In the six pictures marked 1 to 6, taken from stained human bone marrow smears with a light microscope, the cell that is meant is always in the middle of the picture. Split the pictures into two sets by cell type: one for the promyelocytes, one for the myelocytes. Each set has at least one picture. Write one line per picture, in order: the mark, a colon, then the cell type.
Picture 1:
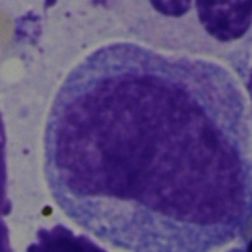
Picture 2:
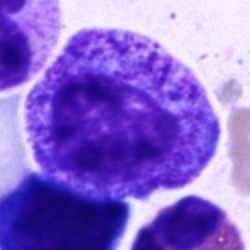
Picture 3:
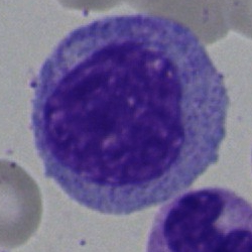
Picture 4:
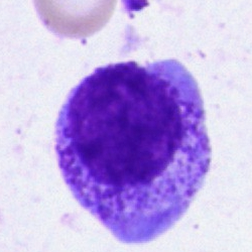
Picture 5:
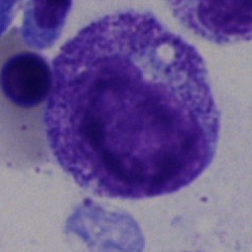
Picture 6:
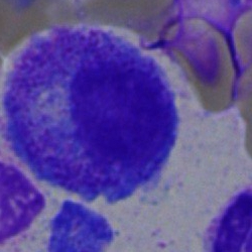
1: promyelocyte
2: promyelocyte
3: promyelocyte
4: promyelocyte
5: myelocyte
6: myelocyte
